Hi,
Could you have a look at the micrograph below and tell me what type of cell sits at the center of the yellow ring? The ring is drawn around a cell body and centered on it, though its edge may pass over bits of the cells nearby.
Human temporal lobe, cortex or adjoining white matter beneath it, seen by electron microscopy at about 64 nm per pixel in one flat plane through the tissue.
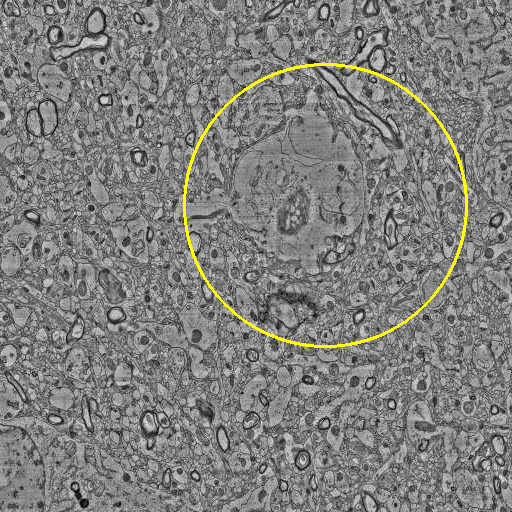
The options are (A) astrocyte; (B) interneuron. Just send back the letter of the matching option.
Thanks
A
